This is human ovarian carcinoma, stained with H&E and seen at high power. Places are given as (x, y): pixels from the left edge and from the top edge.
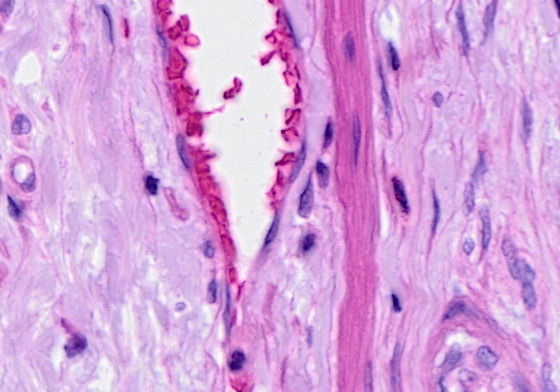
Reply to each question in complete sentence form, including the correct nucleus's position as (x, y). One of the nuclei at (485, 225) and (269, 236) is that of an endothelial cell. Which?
The nucleus at (269, 236) is part of an endothelial cell, while the other is not.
